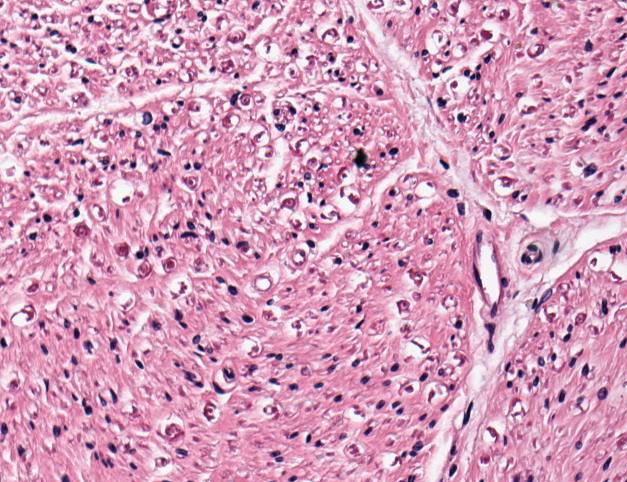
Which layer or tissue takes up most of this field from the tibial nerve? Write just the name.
nerve fascicle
